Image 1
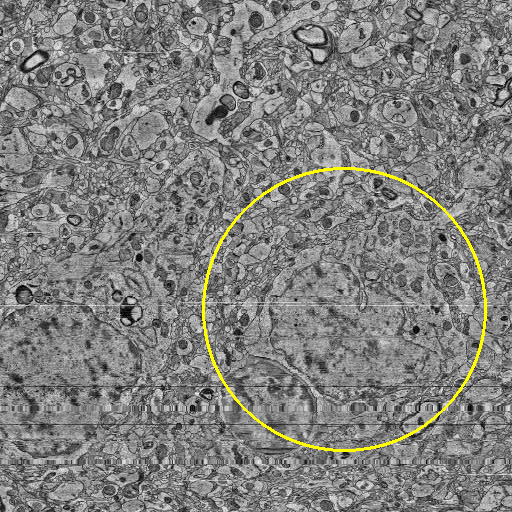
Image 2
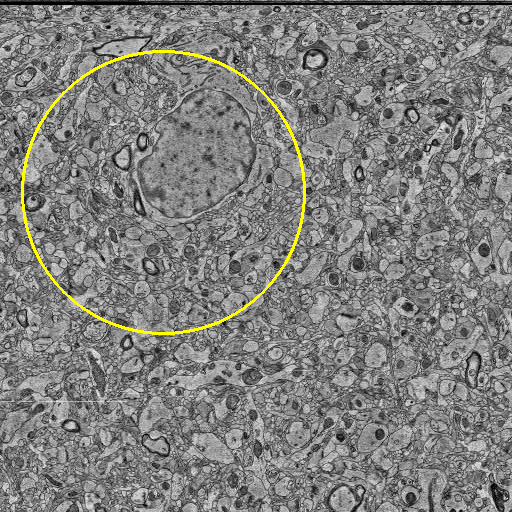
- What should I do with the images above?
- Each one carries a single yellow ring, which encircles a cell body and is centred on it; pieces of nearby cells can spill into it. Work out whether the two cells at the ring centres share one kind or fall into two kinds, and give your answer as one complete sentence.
The ring-centre cells of Image 1 and Image 2 fall into two kinds.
